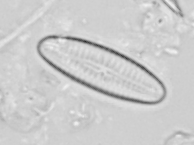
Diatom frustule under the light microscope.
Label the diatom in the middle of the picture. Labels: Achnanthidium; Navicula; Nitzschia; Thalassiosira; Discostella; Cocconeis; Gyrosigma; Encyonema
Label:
Achnanthidium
